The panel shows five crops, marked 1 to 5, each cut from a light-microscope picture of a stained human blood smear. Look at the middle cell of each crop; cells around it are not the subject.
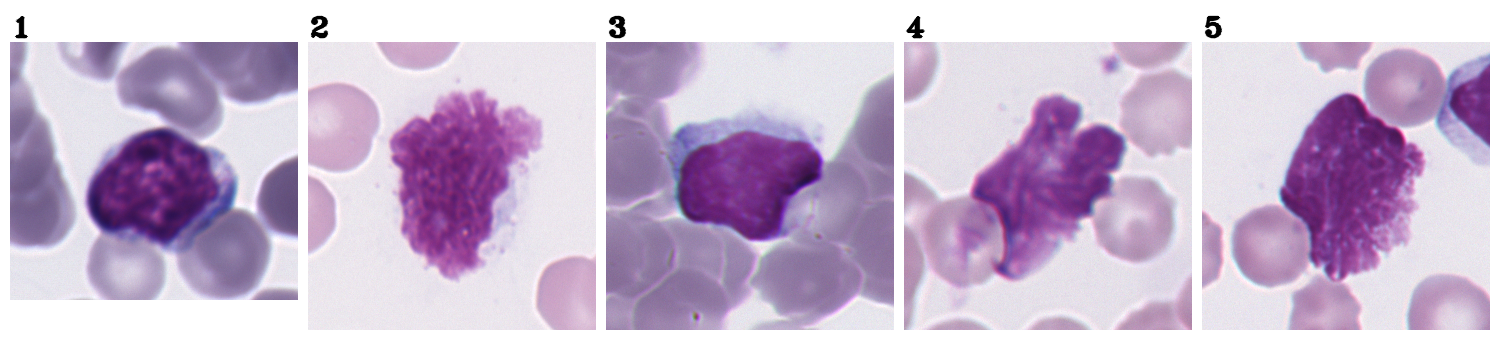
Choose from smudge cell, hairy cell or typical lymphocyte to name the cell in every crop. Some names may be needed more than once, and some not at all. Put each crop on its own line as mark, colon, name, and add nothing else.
1: typical lymphocyte
2: smudge cell
3: typical lymphocyte
4: smudge cell
5: smudge cell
